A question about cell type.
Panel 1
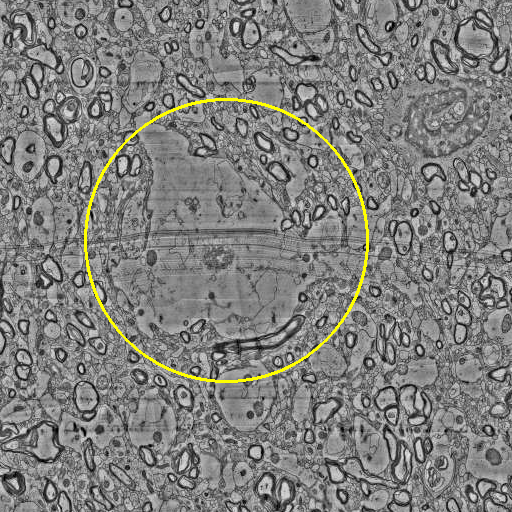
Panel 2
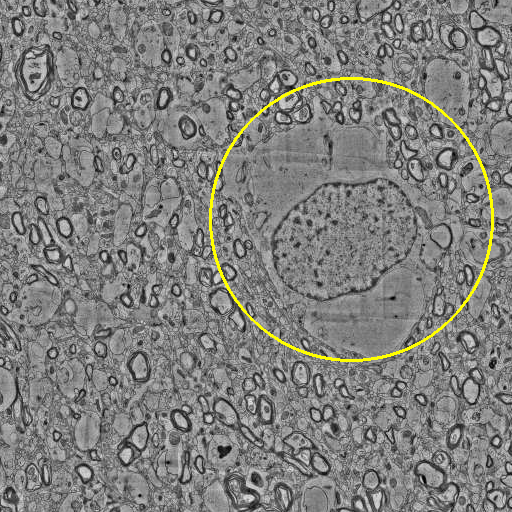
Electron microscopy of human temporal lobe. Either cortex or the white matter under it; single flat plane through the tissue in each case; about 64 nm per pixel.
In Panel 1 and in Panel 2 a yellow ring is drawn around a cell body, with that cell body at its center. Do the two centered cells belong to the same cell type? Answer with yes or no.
yes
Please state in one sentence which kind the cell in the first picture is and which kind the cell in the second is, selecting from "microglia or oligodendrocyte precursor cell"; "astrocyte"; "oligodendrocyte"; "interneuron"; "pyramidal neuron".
Each cell at the centre of a ring is an astrocyte.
